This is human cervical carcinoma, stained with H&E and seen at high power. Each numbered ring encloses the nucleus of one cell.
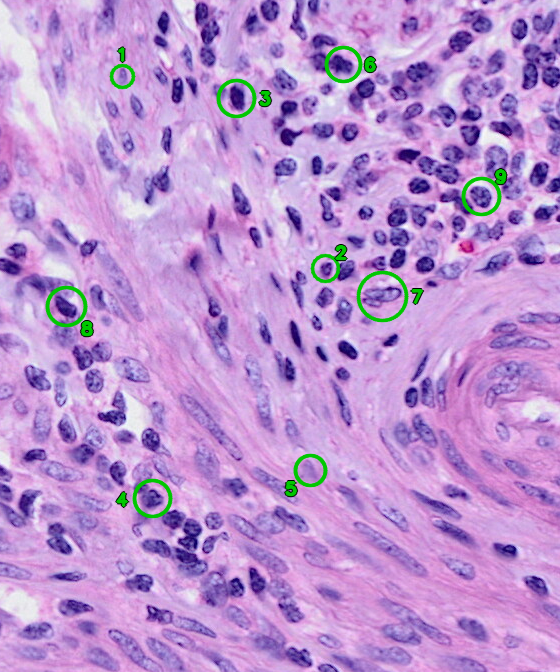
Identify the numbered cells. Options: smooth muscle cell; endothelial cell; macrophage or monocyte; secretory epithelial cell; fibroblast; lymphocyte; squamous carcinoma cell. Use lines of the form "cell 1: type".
cell 1: smooth muscle cell
cell 2: fibroblast
cell 3: lymphocyte
cell 4: lymphocyte
cell 5: smooth muscle cell
cell 6: lymphocyte
cell 7: endothelial cell
cell 8: lymphocyte
cell 9: lymphocyte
